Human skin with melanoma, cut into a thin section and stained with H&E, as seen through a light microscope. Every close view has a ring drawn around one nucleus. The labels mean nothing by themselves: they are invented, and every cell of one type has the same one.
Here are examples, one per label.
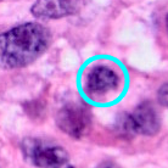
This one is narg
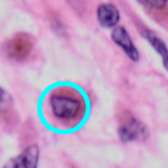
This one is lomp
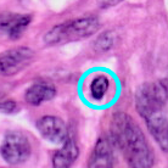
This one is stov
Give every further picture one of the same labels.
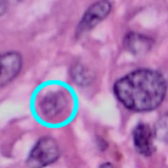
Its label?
narg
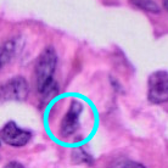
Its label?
narg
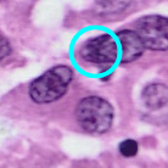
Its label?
narg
